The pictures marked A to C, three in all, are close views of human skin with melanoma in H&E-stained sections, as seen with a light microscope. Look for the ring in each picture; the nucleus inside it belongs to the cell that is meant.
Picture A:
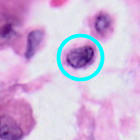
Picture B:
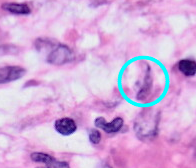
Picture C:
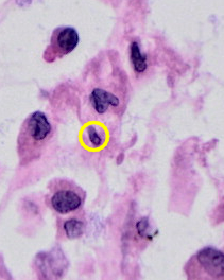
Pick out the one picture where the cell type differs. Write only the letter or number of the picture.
B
